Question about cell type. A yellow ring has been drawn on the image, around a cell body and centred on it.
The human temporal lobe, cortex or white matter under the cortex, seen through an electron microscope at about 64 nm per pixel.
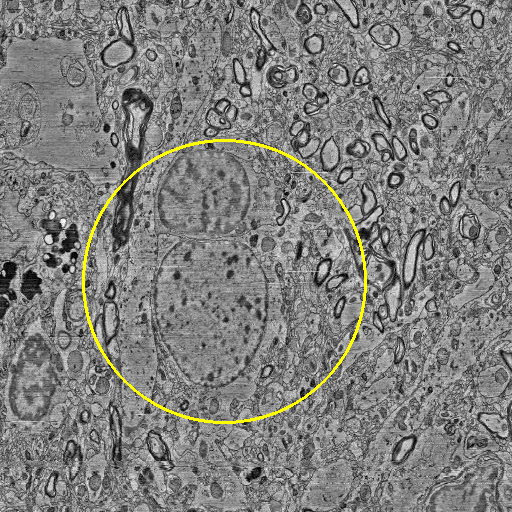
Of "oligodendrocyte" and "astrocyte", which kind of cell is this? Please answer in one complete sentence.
At the centre of the ring lies an astrocyte.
